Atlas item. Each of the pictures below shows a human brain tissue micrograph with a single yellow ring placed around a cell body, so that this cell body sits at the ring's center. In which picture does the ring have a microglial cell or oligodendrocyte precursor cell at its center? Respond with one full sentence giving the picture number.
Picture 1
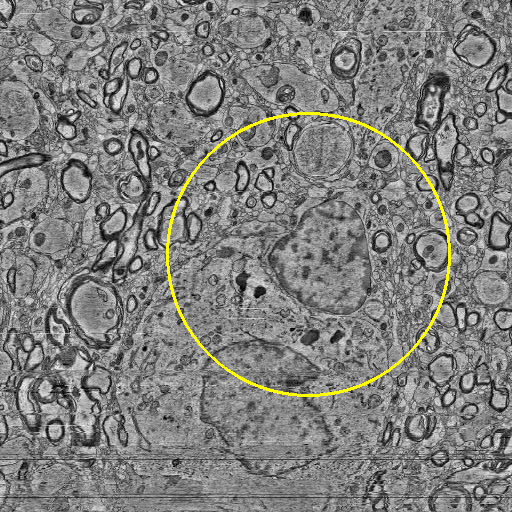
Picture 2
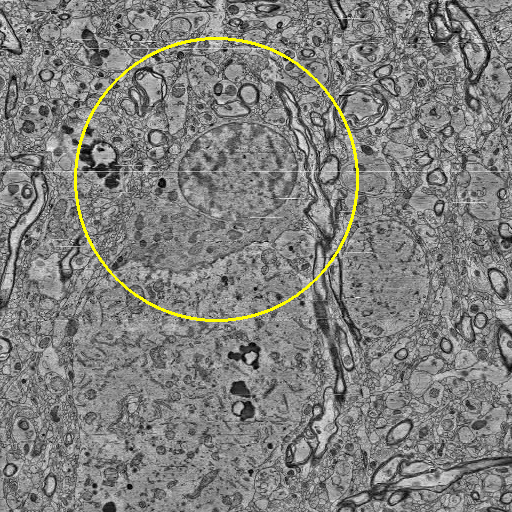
The cell at the ring's center that fits lies in picture 1.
